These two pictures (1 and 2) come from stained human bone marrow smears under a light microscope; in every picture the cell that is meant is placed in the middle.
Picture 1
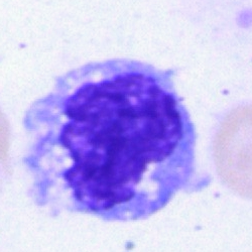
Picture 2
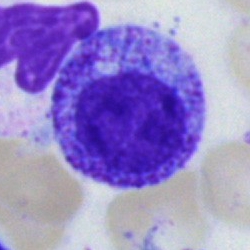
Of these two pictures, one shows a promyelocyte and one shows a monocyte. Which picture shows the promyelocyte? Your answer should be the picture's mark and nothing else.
2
